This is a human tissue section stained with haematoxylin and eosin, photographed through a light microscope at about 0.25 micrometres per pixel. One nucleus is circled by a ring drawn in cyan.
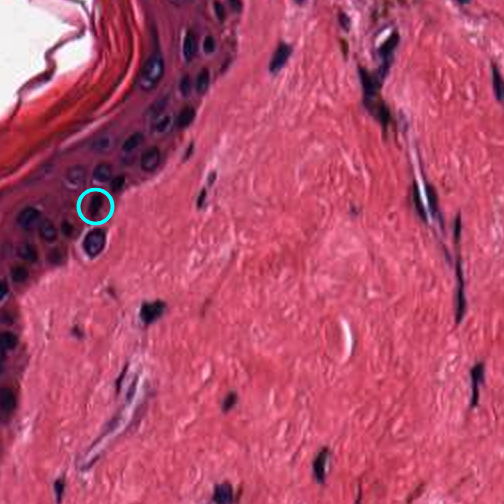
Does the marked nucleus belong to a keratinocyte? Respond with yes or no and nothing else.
yes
